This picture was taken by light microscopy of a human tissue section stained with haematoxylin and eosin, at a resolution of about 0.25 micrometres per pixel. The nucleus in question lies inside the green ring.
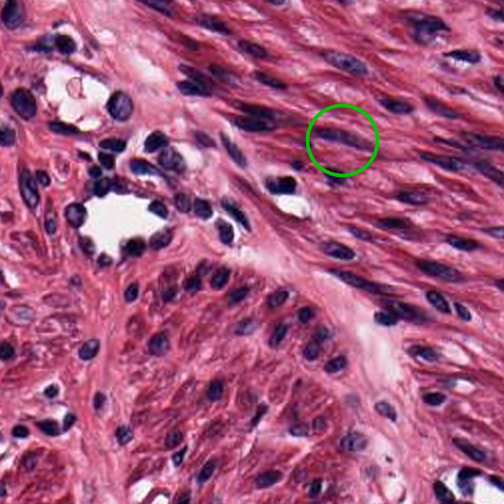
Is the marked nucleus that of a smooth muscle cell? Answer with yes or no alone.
yes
